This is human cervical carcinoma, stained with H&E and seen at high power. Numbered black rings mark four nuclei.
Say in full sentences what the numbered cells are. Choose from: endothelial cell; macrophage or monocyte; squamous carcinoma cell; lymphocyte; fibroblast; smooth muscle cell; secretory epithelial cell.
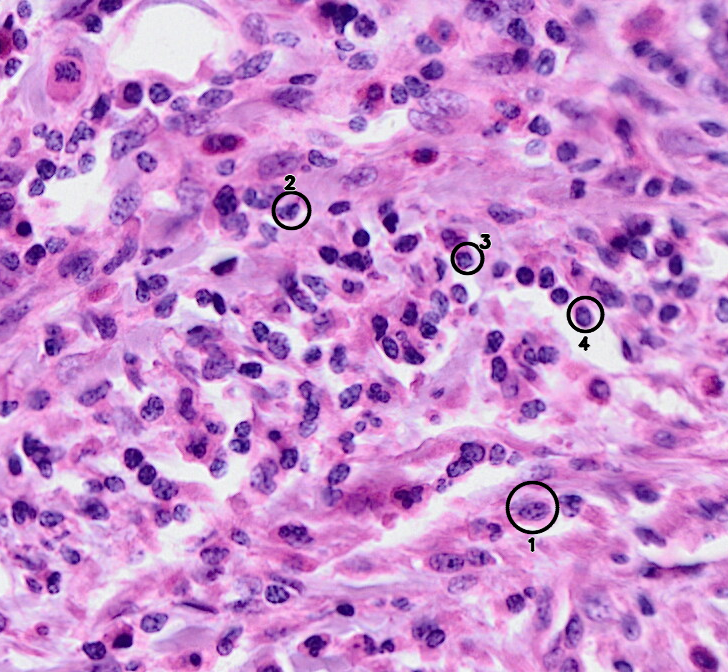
Cell 1 is a macrophage or monocyte, cell 2 is a lymphocyte, cell 3 is a lymphocyte and cell 4 is a lymphocyte.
